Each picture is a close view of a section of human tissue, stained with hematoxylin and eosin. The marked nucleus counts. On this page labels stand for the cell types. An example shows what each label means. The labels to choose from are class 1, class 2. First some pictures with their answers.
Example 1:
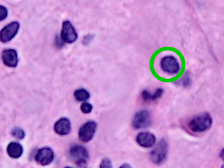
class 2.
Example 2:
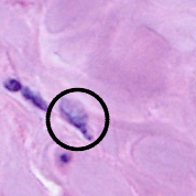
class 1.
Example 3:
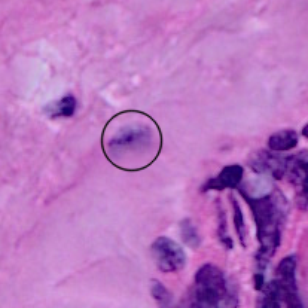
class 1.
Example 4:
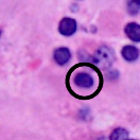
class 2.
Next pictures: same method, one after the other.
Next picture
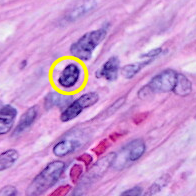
class 2.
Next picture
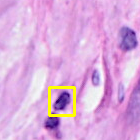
class 2.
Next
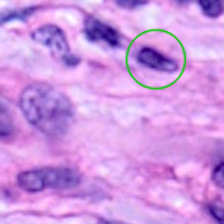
class 2.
